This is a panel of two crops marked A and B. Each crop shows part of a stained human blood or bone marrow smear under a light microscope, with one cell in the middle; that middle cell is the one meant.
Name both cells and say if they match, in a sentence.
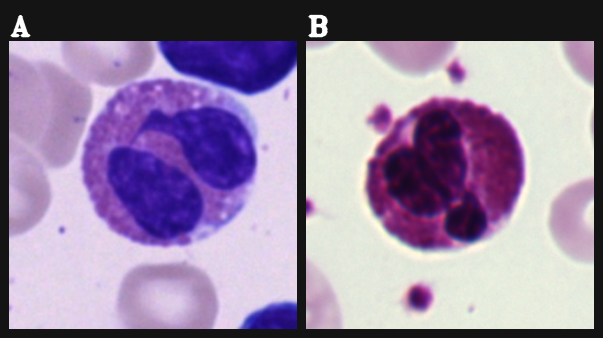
Yes, eosinophils lie at the centre of both crops.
